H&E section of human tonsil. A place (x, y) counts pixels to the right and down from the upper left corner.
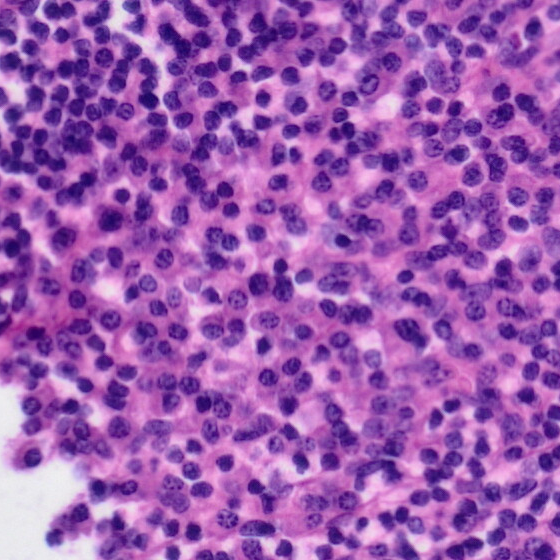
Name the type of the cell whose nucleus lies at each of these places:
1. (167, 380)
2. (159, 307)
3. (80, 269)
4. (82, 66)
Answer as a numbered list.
1. plasma cell
2. plasma cell
3. plasma cell
4. small lymphocyte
